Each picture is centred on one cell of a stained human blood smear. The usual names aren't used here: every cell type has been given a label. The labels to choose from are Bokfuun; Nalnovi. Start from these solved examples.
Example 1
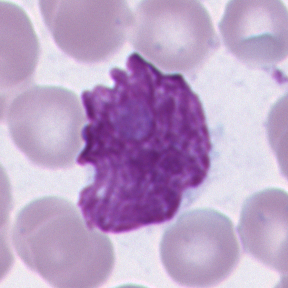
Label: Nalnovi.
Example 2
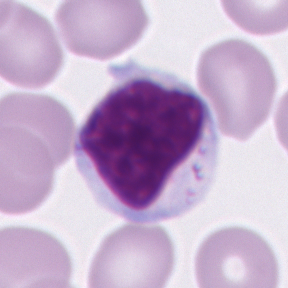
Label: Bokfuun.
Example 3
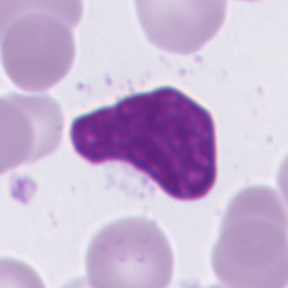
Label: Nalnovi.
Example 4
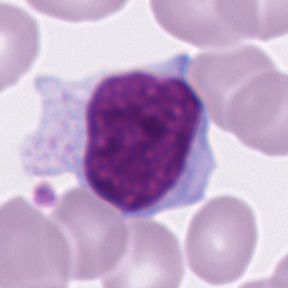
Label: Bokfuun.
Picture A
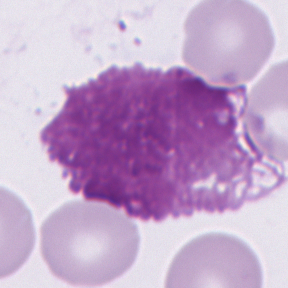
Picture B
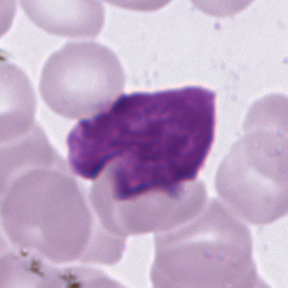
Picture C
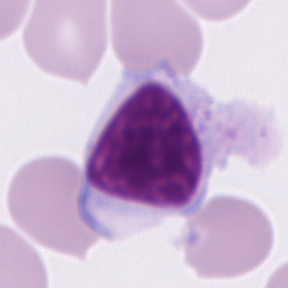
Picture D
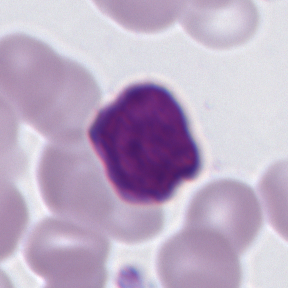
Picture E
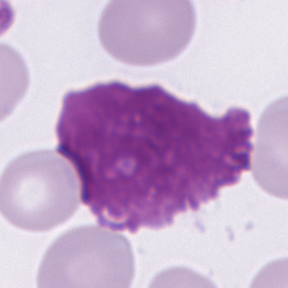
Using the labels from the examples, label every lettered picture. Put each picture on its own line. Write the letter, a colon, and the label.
A: Nalnovi.
B: Nalnovi.
C: Bokfuun.
D: Nalnovi.
E: Nalnovi.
